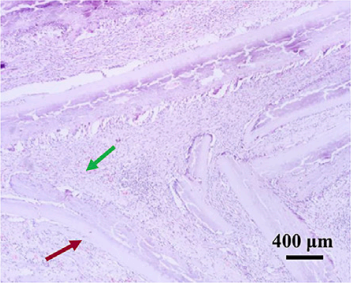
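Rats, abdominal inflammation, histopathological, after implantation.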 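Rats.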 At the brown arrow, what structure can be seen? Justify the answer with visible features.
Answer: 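Broad pale acellular bands running diagonally. Bands have ridged edges and lie within cellular tissue. So: the mesh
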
